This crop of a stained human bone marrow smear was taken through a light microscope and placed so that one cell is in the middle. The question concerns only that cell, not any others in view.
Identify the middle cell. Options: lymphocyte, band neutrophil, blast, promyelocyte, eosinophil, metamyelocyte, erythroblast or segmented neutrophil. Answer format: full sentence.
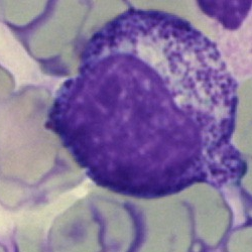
The cell occupying the middle of the crop is a promyelocyte.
